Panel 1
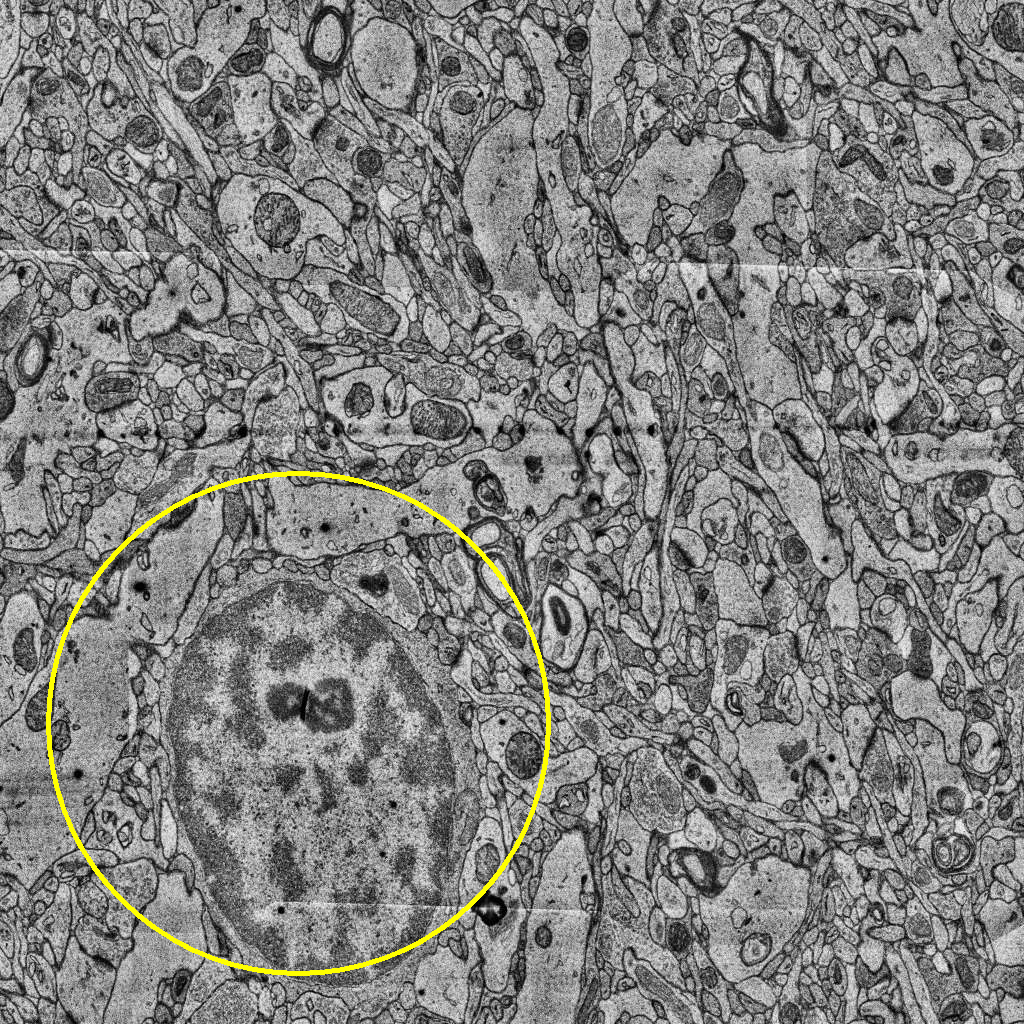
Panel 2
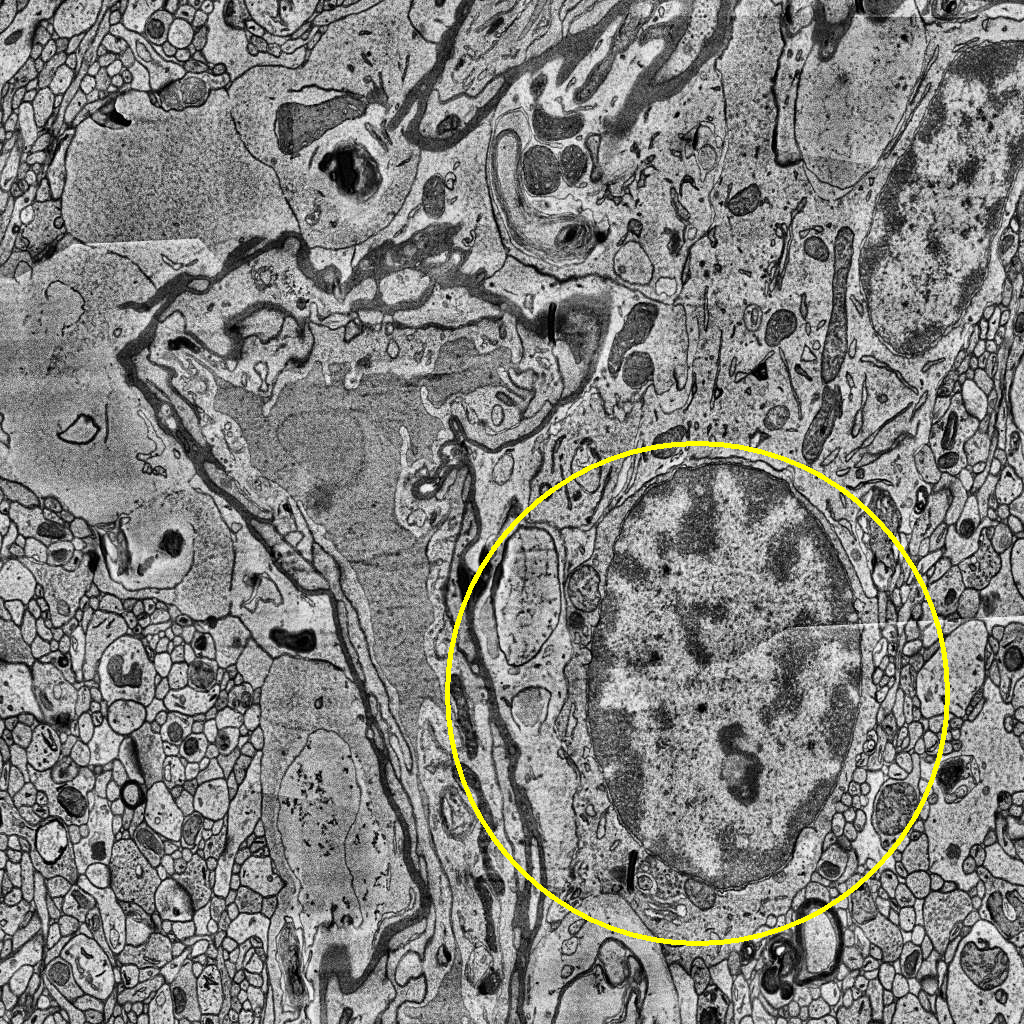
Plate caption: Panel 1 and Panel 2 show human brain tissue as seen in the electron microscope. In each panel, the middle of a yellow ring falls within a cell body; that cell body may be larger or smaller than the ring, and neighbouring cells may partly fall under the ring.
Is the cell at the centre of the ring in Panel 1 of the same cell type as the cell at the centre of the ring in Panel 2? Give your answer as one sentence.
Yes, the two cells are of the same type.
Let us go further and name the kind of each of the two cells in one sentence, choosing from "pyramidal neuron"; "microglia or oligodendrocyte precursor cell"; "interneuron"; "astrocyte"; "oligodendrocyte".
Each of the two rings surrounds an oligodendrocyte.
